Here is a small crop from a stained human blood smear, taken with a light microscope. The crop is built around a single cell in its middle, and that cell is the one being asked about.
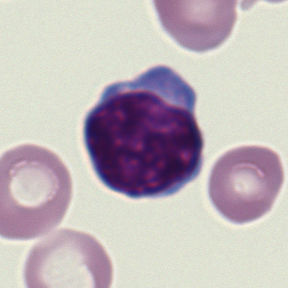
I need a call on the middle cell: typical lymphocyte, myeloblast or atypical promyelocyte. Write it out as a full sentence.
In this smear crop, the middle cell is a typical lymphocyte.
